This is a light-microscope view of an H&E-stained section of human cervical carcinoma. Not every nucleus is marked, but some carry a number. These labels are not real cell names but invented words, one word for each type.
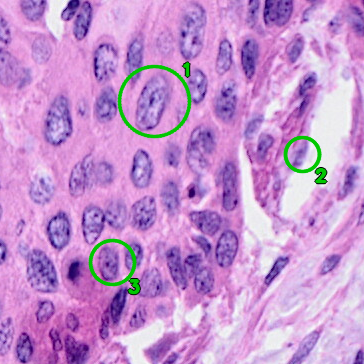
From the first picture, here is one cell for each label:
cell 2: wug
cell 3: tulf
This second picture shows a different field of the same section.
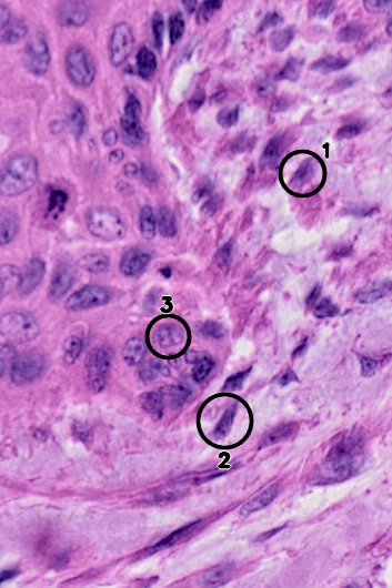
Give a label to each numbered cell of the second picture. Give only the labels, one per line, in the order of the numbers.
wug
wug
tulf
